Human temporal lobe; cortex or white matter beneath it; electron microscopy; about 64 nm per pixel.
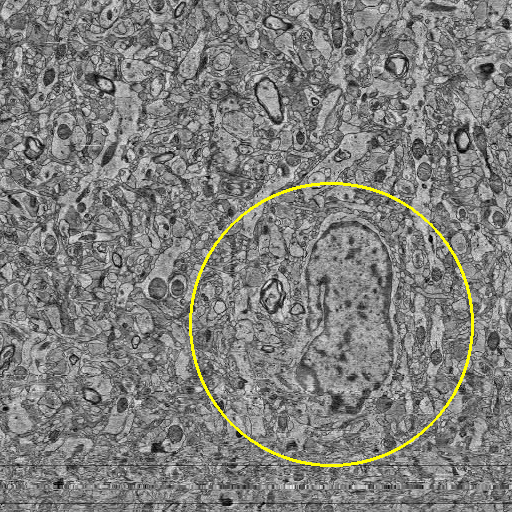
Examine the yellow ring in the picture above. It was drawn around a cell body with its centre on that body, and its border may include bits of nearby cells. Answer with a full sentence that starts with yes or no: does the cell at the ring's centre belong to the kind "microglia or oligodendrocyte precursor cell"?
Yes, the cell at the heart of the ring shown in the image is of that kind.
